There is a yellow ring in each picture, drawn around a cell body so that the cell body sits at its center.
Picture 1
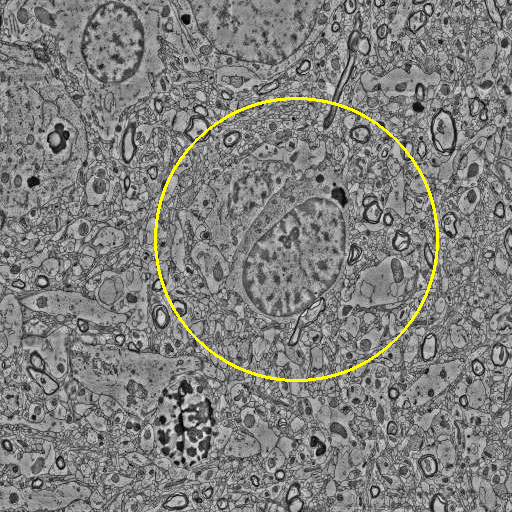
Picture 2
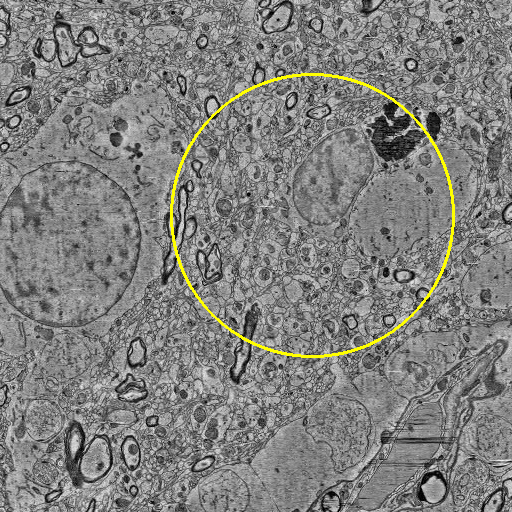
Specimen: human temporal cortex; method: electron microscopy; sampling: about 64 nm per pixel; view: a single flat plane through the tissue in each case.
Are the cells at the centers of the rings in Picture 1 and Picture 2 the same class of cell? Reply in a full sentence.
Yes, the two cells are the same class of cell.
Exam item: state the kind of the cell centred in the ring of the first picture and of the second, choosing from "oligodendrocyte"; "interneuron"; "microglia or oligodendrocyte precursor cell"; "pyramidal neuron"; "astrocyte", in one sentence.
The second cell is an oligodendrocyte, just as the first is.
